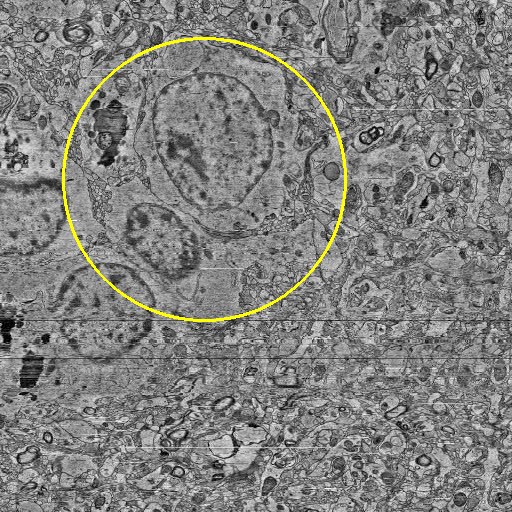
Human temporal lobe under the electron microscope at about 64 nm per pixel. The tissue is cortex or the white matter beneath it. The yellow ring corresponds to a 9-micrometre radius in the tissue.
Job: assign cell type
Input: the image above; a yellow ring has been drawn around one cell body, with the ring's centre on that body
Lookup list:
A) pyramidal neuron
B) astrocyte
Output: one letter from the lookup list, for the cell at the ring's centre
B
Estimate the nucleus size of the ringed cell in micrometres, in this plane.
In this plane, the nucleus of the cell at the centre of the ring measures about 9 by 7 micrometres.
